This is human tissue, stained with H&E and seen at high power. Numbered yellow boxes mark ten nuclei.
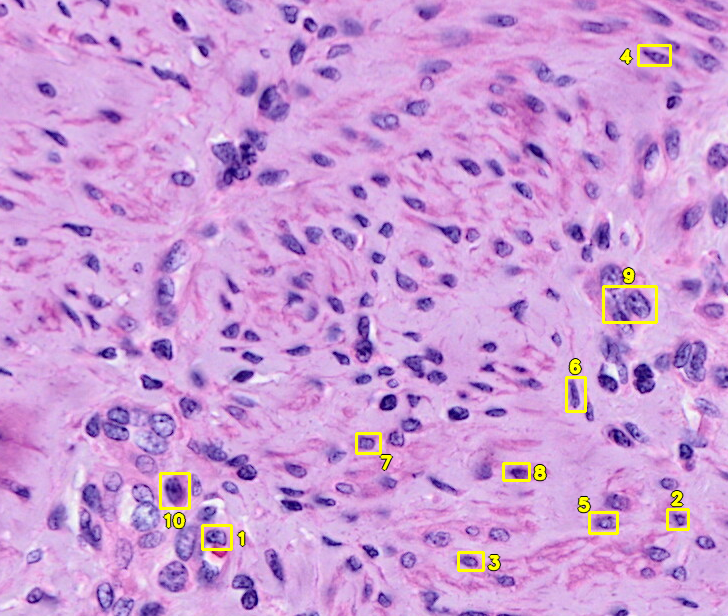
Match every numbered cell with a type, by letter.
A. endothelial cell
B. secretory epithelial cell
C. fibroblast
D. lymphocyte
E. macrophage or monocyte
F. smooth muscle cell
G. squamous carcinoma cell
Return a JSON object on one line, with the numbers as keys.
{"1": "A", "2": "F", "3": "F", "4": "F", "5": "F", "6": "C", "7": "F", "8": "F", "9": "A", "10": "D"}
